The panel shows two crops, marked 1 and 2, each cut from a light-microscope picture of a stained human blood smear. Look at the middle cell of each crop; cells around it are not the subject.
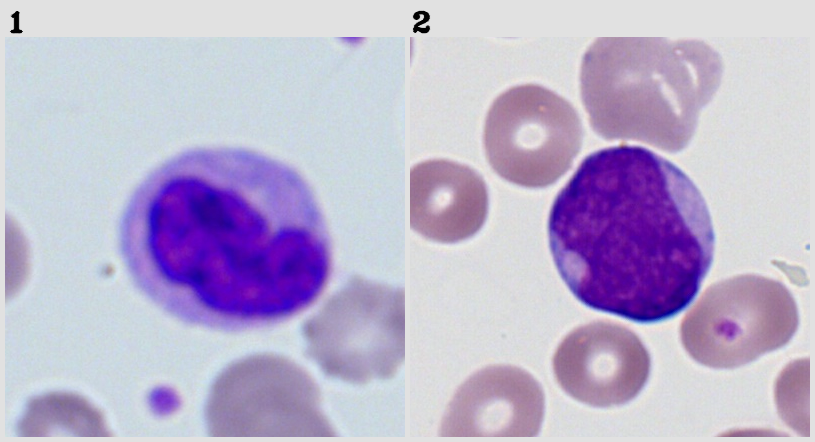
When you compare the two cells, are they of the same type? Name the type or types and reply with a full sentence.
No, the cell of interest in crop 1 is a monocyte, and in crop 2 it is a myeloblast.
